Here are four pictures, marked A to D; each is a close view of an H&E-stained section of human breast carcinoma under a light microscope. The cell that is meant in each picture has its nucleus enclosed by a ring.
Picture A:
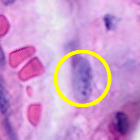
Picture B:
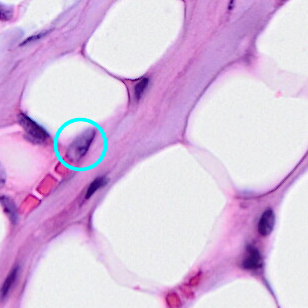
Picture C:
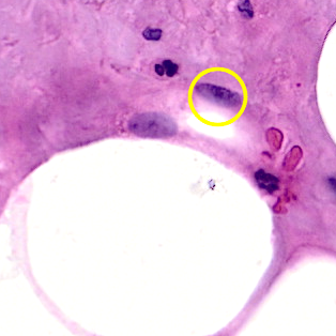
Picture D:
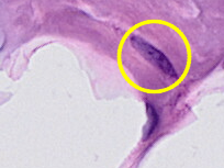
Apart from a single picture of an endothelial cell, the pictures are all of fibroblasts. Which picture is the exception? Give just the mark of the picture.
B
